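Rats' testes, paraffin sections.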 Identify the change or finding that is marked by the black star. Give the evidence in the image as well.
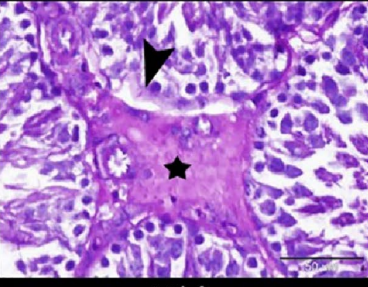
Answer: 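The star lies in a widened space between tubules. That space is filled with homogeneous pink-magenta material with few nuclei. That points to this answer: hyalinized interstitial tissue.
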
